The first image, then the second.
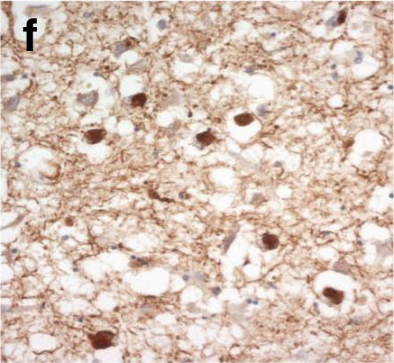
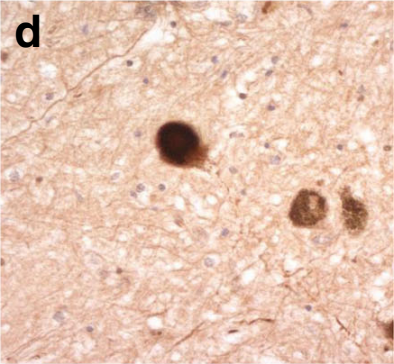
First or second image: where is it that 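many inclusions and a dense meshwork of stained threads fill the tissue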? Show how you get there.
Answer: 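The first image. First image: numerous dark brown inclusions and a dense web of brown threads.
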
